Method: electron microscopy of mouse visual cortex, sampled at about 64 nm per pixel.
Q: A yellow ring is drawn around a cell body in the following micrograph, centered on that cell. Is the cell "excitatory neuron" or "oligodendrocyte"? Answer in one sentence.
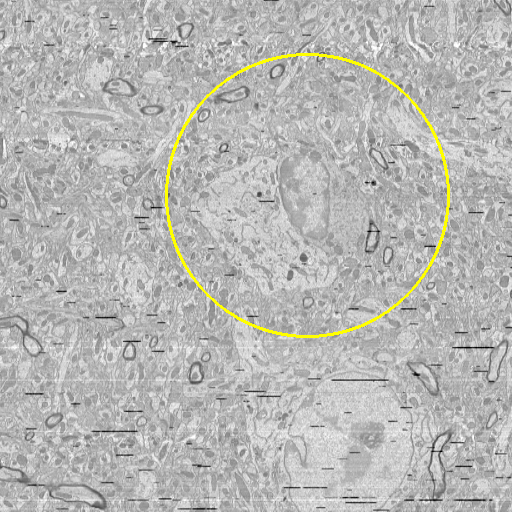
The cell in the center of the ring is an oligodendrocyte.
